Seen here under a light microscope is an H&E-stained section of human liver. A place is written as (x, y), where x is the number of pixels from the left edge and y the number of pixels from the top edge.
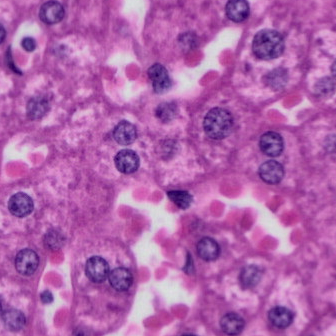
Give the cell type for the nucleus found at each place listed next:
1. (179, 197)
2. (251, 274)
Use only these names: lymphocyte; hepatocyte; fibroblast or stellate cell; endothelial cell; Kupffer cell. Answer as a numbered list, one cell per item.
1. fibroblast or stellate cell
2. hepatocyte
